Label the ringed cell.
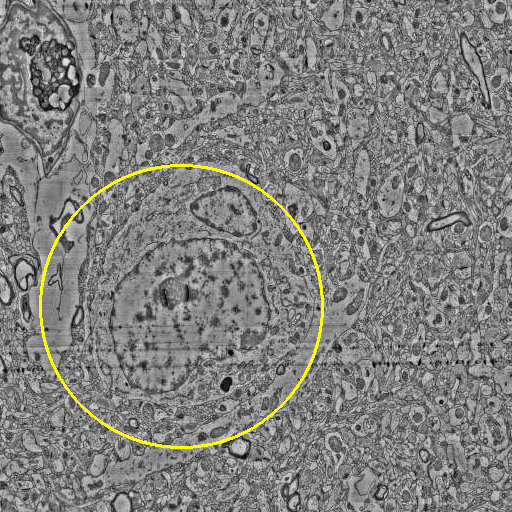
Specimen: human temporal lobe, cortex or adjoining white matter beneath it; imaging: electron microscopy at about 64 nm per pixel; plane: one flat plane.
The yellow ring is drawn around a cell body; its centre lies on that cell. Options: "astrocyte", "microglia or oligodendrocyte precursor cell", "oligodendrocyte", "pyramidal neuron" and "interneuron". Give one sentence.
The ringed cell is an interneuron.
